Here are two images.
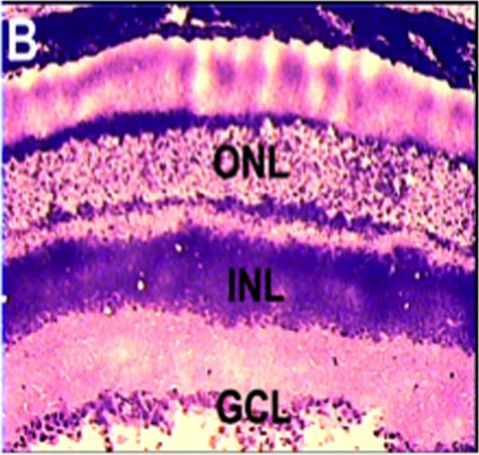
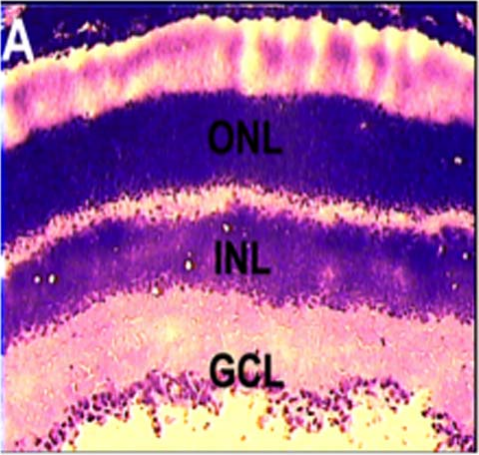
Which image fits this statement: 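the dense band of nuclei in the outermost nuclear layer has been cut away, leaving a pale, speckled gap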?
The first image.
